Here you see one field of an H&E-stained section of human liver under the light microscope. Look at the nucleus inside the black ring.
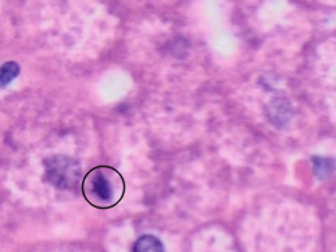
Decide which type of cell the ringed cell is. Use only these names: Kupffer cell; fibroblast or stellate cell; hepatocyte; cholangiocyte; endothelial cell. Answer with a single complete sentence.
The cell meant here is a fibroblast or stellate cell.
